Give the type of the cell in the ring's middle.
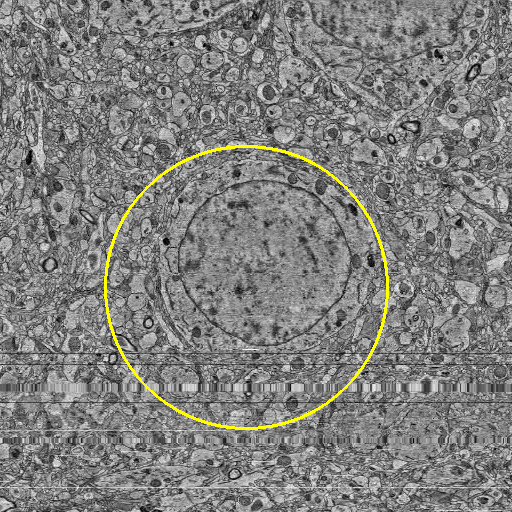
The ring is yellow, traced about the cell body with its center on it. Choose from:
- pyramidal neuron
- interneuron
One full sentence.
Here, a pyramidal neuron is the cell lying at the center of the yellow ring.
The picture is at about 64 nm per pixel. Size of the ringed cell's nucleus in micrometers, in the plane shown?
The nucleus is approximately 11 micrometers across in this plane.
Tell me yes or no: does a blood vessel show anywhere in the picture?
No.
